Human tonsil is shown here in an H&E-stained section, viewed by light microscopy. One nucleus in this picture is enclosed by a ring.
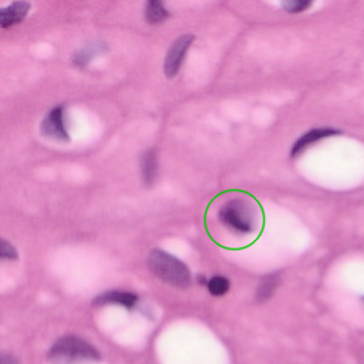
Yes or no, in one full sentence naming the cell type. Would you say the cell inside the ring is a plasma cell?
No, it is a squamous epithelial cell rather than a plasma cell that the cell inside the ring is.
